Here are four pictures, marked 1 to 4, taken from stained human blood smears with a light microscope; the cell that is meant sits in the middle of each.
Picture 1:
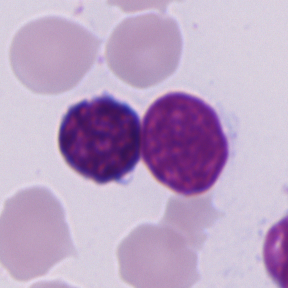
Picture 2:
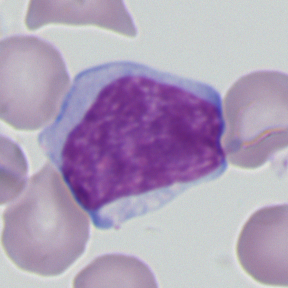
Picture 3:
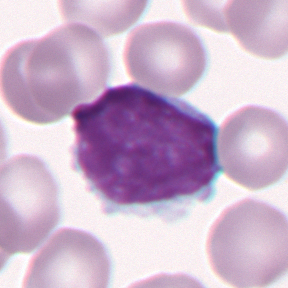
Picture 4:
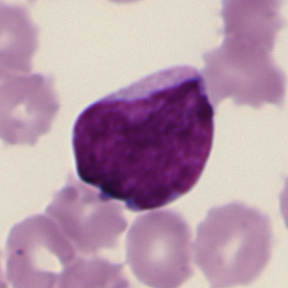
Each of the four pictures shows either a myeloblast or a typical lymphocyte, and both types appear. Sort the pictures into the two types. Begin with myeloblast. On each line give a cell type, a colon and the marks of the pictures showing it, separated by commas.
myeloblast: 1, 2, 4
typical lymphocyte: 3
